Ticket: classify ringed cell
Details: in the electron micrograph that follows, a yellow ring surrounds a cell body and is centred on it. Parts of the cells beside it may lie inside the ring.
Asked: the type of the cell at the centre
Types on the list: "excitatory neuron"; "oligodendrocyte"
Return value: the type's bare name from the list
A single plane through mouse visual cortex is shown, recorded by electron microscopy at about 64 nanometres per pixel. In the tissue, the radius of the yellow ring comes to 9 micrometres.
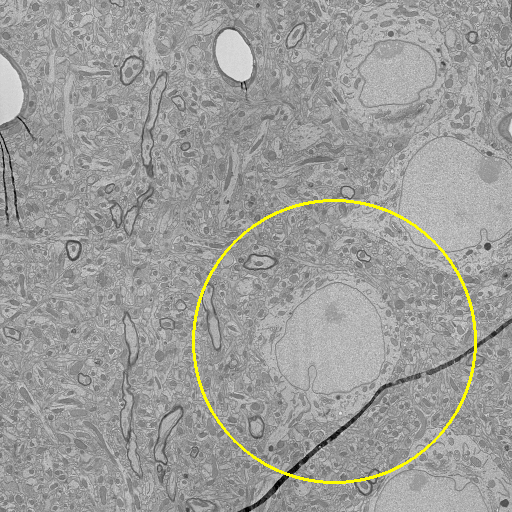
excitatory neuron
